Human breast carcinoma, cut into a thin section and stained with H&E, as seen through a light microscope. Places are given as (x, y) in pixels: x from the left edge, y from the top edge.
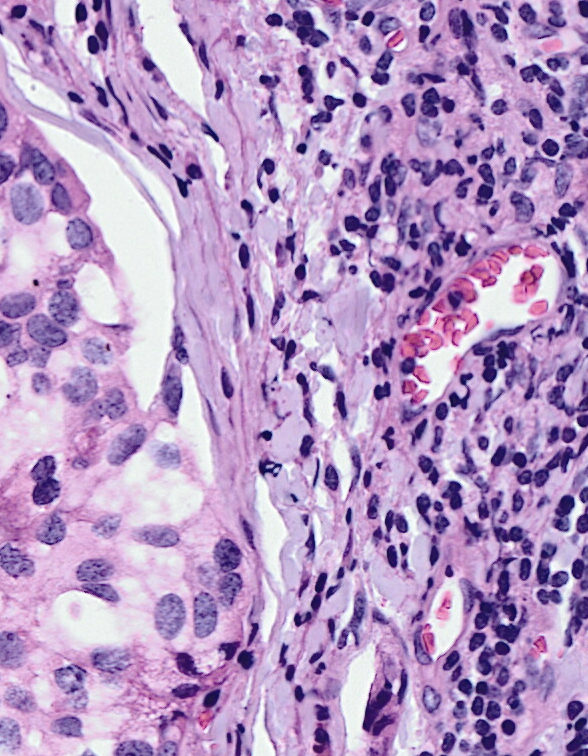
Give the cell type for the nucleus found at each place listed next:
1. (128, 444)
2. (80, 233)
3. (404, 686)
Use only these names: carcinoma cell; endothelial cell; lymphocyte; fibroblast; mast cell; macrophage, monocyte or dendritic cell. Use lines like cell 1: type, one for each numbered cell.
cell 1: carcinoma cell
cell 2: carcinoma cell
cell 3: endothelial cell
